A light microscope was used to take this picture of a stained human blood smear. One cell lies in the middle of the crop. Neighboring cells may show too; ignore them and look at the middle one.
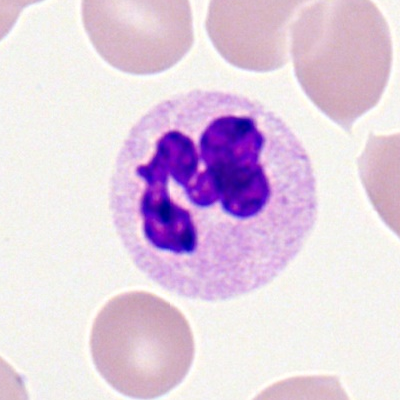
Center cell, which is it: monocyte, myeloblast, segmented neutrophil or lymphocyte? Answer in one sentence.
Framed in the middle of the crop is a segmented neutrophil.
